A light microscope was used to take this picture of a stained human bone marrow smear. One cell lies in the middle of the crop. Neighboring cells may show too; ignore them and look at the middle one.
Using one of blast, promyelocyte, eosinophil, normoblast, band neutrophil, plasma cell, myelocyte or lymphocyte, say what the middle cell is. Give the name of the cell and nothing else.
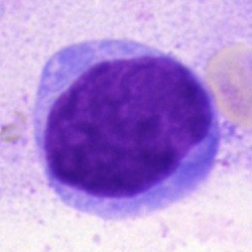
blast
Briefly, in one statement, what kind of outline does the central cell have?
The outline traces a smooth curve with no projections along it.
